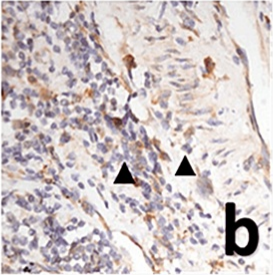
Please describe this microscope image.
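Densely packed small round cells with dark blue round nuclei and very little cytoplasm fill the left part of the field, with a few faintly brownish cells scattered among them. Towards the right, looser fibrous tissue with elongated spindle-shaped nuclei and a few brown-stained cells runs in streaks.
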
